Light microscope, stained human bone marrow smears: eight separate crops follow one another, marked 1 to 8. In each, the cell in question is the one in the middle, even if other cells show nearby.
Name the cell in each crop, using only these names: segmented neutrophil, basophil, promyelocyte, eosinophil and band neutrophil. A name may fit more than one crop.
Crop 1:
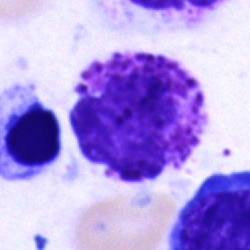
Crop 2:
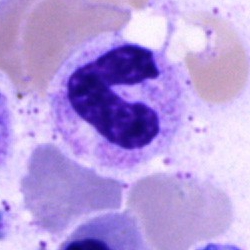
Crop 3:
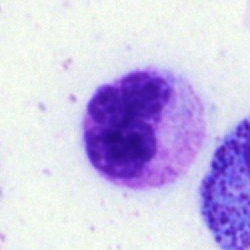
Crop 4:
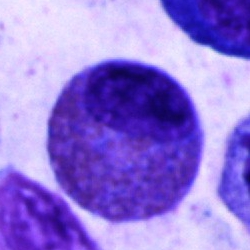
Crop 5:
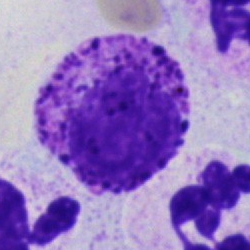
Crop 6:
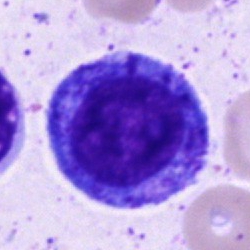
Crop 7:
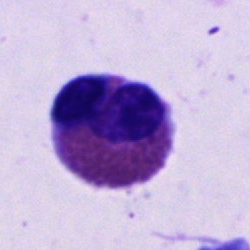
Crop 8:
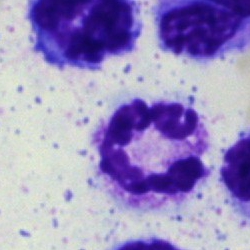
1: basophil
2: band neutrophil
3: basophil
4: eosinophil
5: basophil
6: promyelocyte
7: eosinophil
8: segmented neutrophil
